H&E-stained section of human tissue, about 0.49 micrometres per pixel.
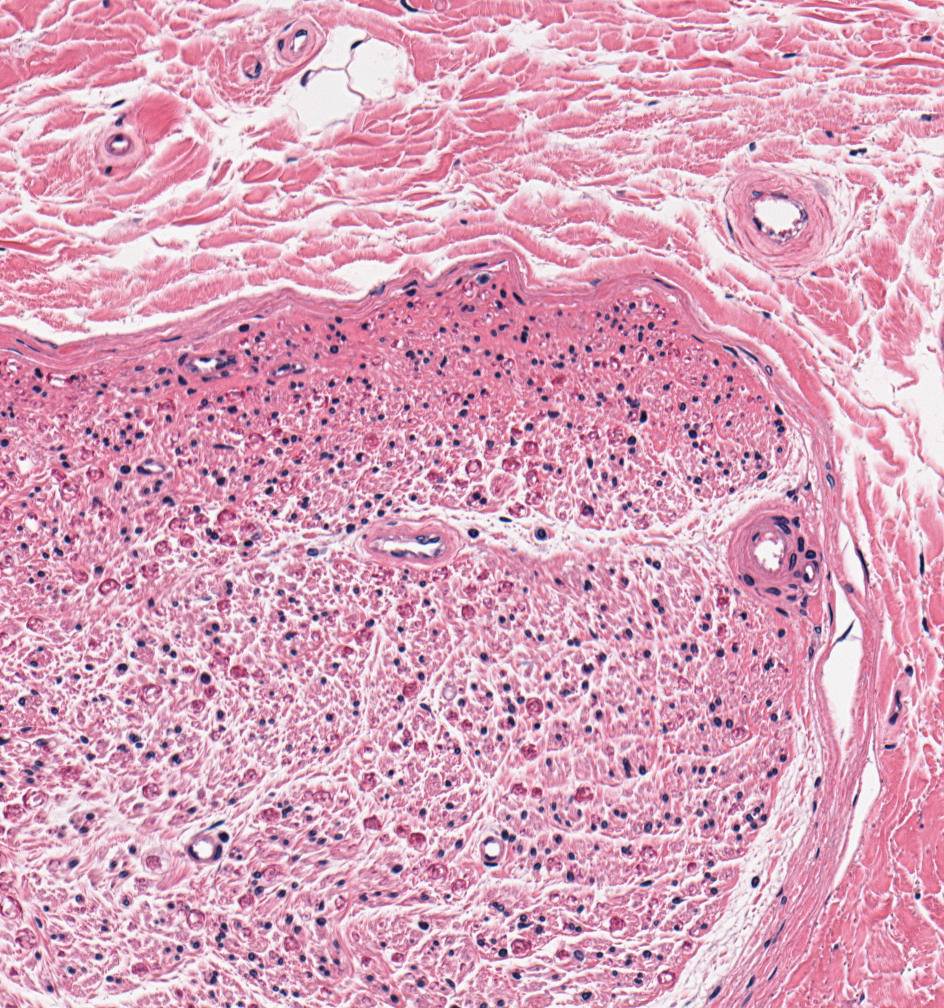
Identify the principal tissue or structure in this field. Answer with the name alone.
nerve fascicle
